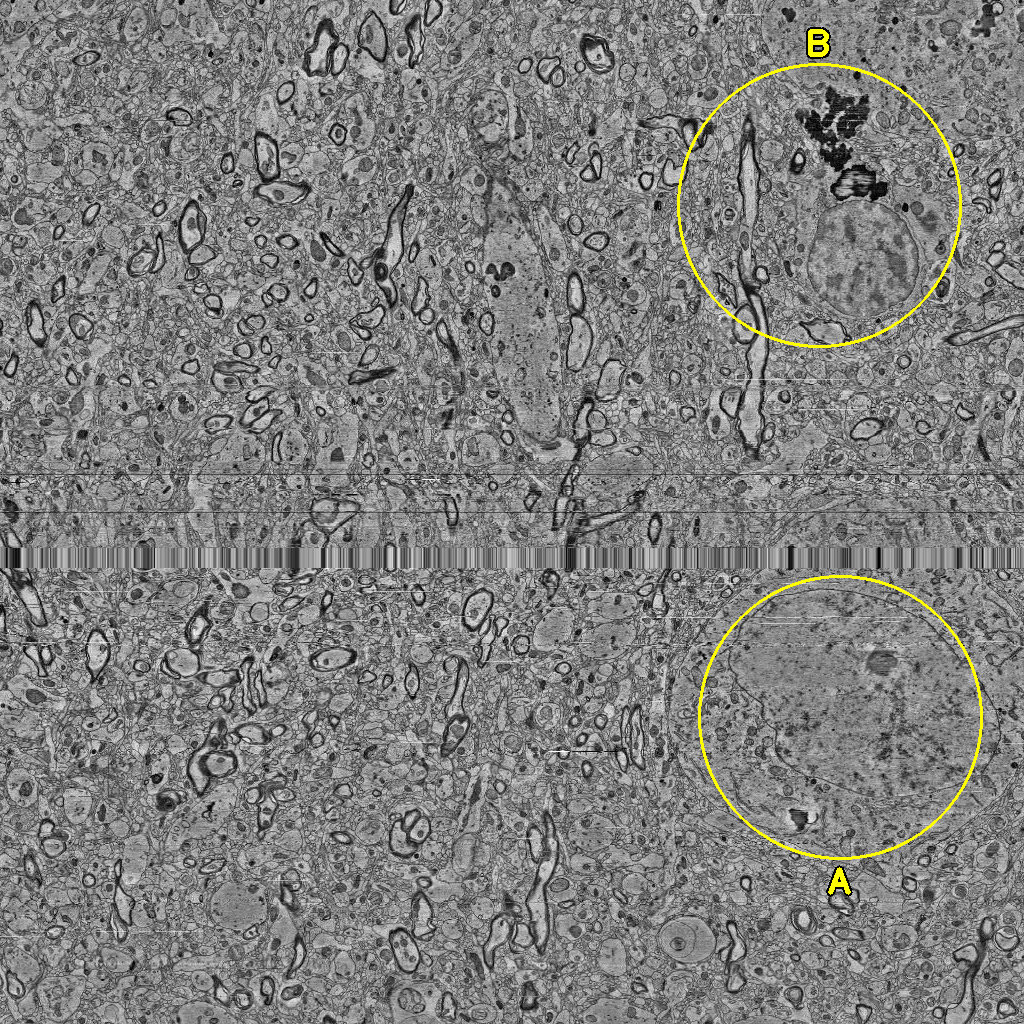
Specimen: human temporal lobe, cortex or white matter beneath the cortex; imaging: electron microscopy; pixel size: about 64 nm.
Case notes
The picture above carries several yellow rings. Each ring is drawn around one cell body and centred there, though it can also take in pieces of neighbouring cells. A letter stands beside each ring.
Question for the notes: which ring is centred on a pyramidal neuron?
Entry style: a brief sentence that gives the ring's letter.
Ring A is centred on it.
